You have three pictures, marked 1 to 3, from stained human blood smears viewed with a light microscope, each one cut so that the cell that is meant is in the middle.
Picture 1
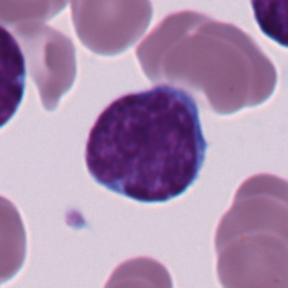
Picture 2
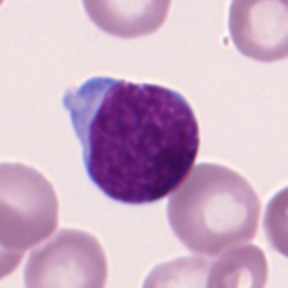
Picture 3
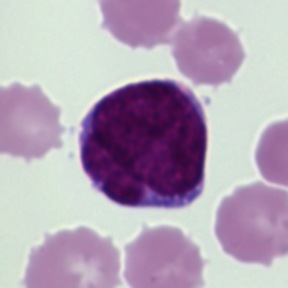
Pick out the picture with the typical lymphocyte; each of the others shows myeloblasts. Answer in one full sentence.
The cell in picture 1 is the typical lymphocyte.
